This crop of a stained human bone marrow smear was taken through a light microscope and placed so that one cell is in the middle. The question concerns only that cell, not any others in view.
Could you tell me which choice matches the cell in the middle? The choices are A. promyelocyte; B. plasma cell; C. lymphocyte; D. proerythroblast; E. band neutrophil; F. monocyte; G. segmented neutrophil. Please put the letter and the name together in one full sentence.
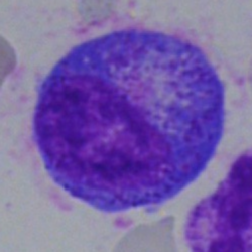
The cell in the middle is a promyelocyte, and so option A is correct.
